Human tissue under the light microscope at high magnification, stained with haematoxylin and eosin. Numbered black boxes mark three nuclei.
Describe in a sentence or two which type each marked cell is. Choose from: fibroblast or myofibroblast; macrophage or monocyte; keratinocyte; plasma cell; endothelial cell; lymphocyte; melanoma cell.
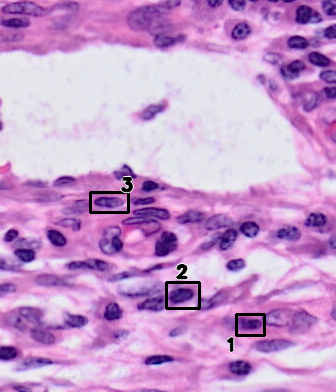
Cell 1 is an endothelial cell, cell 2 is a plasma cell and cell 3 is a lymphocyte.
